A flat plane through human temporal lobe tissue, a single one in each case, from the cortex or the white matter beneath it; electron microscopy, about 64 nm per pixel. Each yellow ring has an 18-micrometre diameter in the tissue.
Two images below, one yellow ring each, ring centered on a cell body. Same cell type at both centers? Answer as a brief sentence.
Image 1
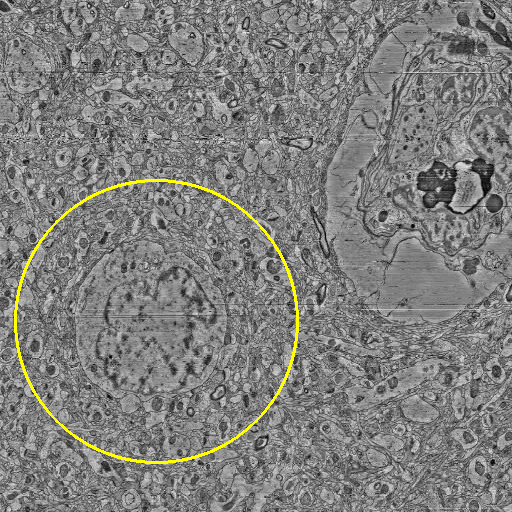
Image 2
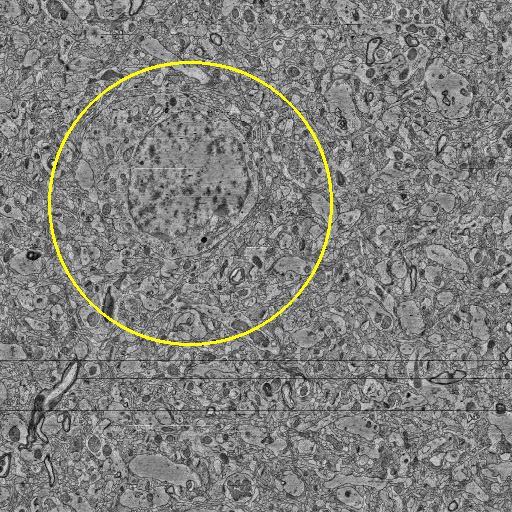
Yes, both cells are of the same type.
